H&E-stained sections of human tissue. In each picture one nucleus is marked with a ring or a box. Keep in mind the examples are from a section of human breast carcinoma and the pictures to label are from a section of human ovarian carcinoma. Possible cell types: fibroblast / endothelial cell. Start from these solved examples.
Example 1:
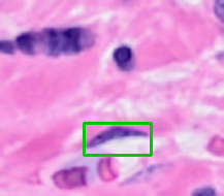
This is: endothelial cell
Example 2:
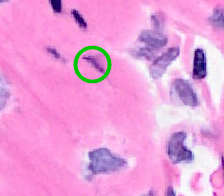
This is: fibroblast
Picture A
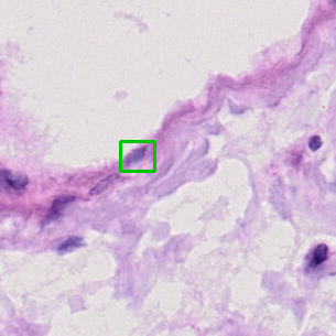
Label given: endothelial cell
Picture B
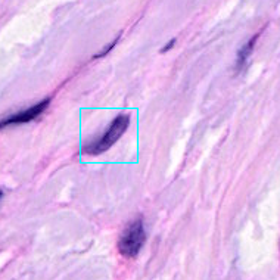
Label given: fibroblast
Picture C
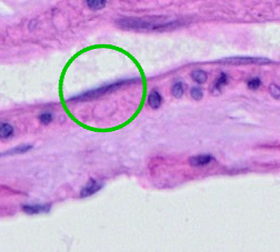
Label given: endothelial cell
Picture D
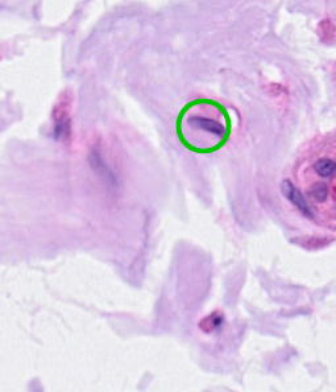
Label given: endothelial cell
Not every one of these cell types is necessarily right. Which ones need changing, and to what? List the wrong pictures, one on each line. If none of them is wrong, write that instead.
All labels are correct.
